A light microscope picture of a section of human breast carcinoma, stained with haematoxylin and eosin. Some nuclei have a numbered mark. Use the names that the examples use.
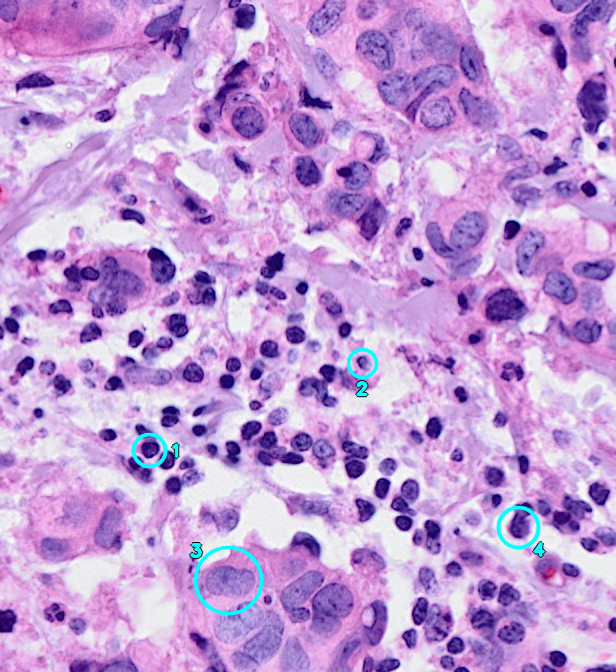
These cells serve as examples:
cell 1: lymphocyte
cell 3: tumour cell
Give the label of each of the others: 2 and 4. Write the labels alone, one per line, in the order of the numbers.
lymphocyte
lymphocyte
